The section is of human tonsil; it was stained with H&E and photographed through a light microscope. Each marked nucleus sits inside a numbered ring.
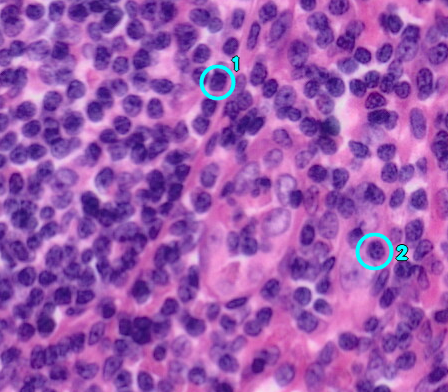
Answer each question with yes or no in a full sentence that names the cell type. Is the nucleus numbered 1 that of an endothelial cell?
No, for cell 1, the correct identification is a small lymphocyte instead of an endothelial cell.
